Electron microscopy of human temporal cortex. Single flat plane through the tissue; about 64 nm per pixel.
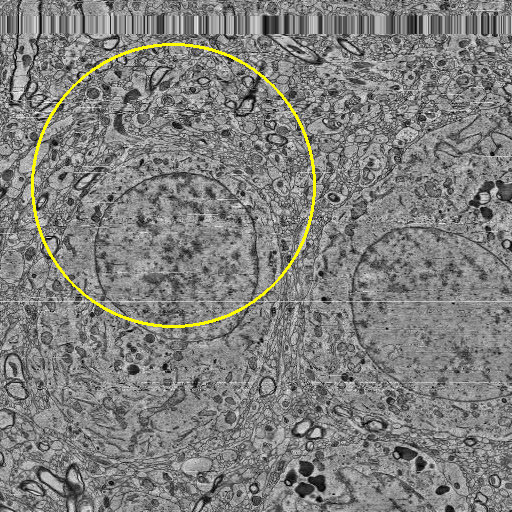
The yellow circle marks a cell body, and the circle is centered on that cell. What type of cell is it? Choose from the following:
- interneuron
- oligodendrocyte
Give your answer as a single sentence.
This cell body belongs to an interneuron.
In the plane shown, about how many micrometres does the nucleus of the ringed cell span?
Roughly 11 micrometers across, in this plane.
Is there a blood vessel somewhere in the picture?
No, no blood vessel shows in the picture.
